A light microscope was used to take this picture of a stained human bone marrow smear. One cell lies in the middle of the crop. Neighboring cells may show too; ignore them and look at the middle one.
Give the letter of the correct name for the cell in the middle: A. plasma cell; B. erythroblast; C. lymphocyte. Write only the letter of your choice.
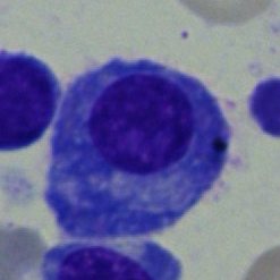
A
